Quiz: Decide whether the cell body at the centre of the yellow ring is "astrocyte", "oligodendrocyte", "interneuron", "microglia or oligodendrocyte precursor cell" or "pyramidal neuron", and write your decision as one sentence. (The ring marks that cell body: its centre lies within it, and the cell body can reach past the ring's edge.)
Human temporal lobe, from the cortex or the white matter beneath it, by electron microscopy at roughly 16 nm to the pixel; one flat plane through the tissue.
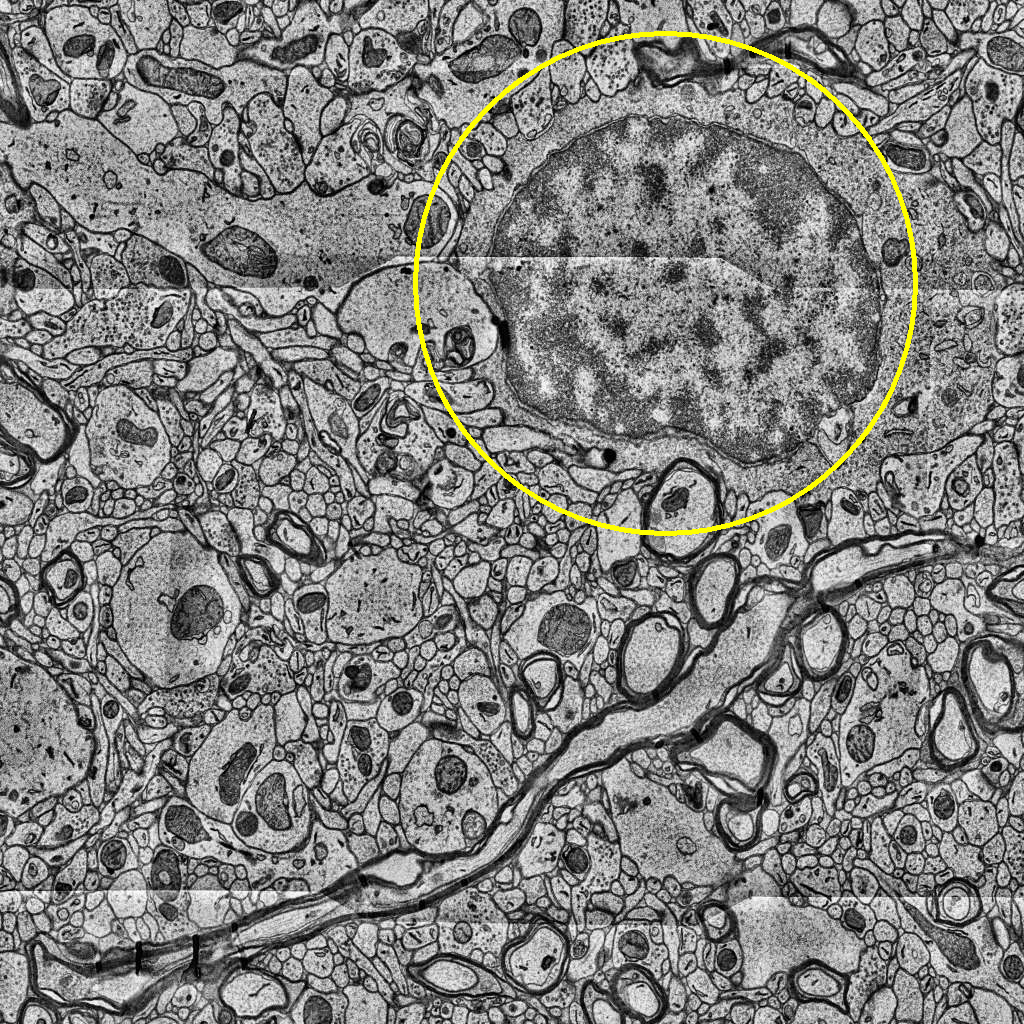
The cell holding the ring's centre is an oligodendrocyte.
